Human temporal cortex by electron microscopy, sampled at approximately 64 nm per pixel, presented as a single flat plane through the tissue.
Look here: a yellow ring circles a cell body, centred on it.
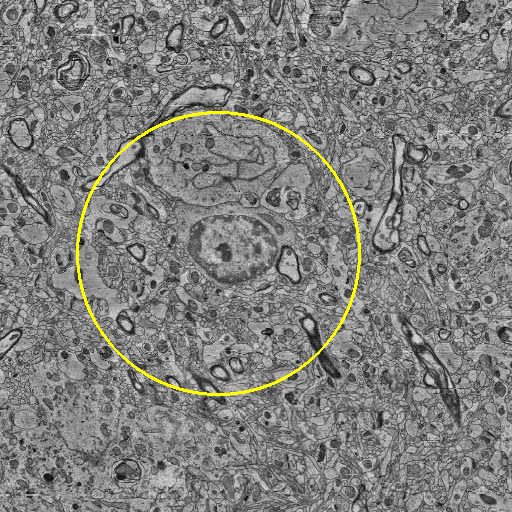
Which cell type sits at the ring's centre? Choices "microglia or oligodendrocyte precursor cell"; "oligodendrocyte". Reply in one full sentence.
The cell at the centre of the yellow ring in the picture is an oligodendrocyte.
